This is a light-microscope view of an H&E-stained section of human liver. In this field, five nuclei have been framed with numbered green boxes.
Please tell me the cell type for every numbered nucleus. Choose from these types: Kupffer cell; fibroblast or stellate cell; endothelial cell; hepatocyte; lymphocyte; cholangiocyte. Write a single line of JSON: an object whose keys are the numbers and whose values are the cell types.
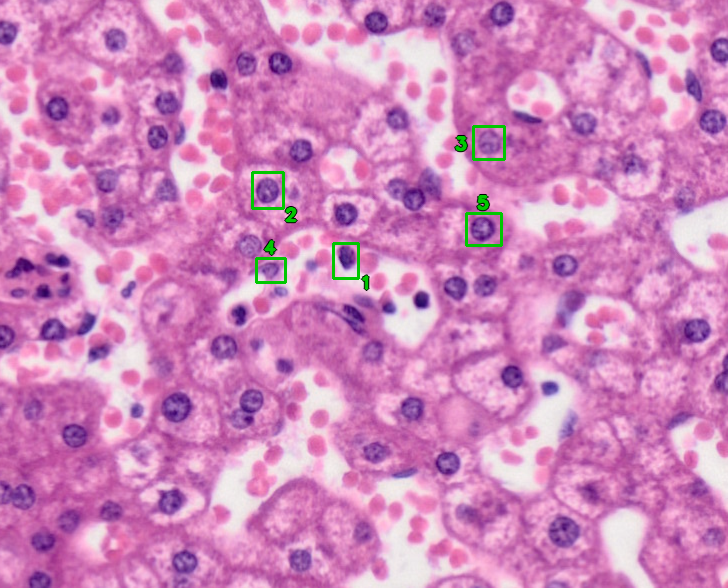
{"1": "lymphocyte", "2": "hepatocyte", "3": "hepatocyte", "4": "Kupffer cell", "5": "hepatocyte"}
